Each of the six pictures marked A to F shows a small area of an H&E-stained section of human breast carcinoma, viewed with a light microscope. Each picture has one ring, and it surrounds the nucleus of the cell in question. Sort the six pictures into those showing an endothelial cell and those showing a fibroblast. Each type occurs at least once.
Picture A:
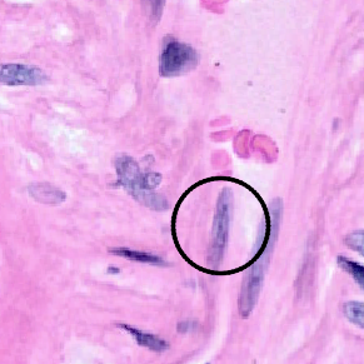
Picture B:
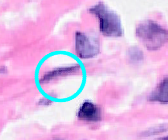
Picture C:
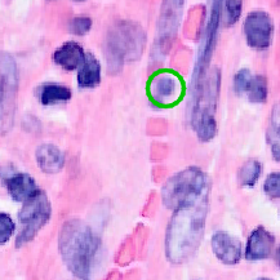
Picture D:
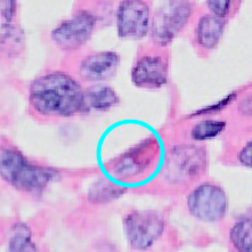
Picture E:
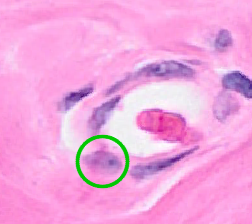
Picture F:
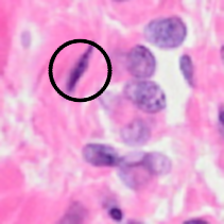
A: endothelial cell
B: fibroblast
C: endothelial cell
D: endothelial cell
E: endothelial cell
F: fibroblast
